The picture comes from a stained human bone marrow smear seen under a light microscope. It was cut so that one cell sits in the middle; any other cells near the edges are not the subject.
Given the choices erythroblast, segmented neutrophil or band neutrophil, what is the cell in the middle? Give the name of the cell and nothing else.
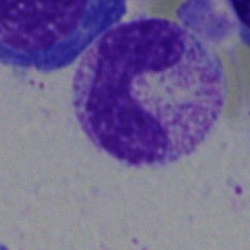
band neutrophil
